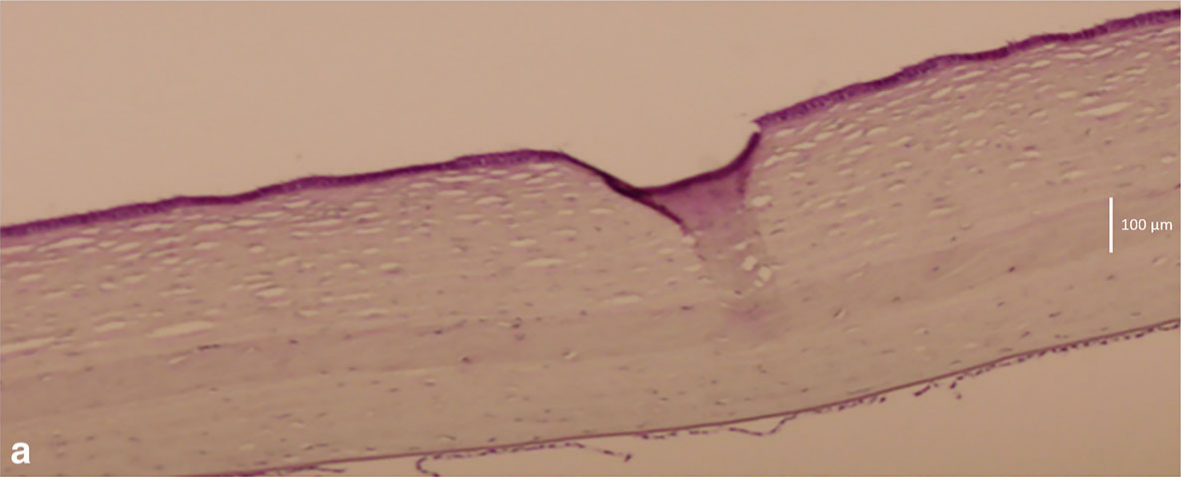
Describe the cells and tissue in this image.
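This is a section through the full thickness of a cornea, with a thin purple stratified epithelium along the upper surface. Beneath it lies the thick stroma, built of pale pink lamellae stacked parallel to the surface, with sparse flattened dark nuclei of keratocytes between them and many clear slit-like gaps toward the front.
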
